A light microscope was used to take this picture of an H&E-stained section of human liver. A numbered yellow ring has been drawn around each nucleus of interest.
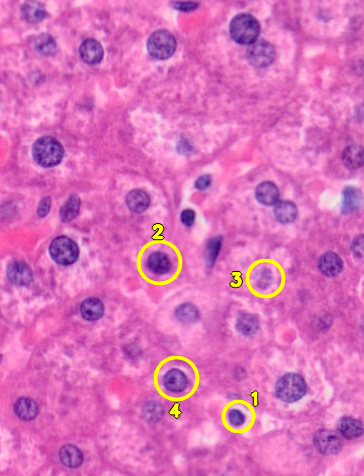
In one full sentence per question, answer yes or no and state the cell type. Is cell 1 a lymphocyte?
Yes, the cell that is numbered 1 is a lymphocyte.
